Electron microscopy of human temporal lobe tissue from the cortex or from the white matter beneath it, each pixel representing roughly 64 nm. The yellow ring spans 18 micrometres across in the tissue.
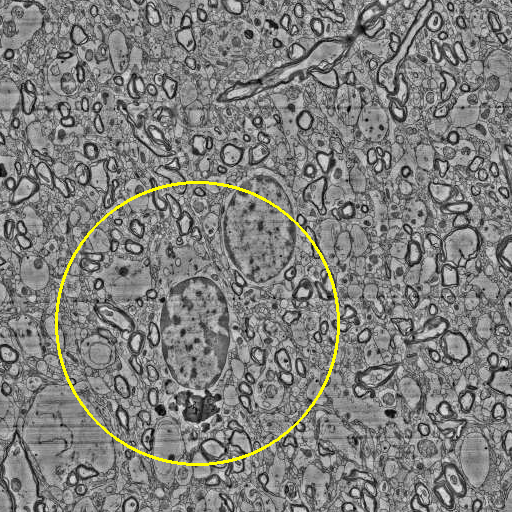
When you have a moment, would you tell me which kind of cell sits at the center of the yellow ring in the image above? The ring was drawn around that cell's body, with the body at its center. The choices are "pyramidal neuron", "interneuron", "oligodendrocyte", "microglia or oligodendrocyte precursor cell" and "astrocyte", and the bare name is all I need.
microglia or oligodendrocyte precursor cell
